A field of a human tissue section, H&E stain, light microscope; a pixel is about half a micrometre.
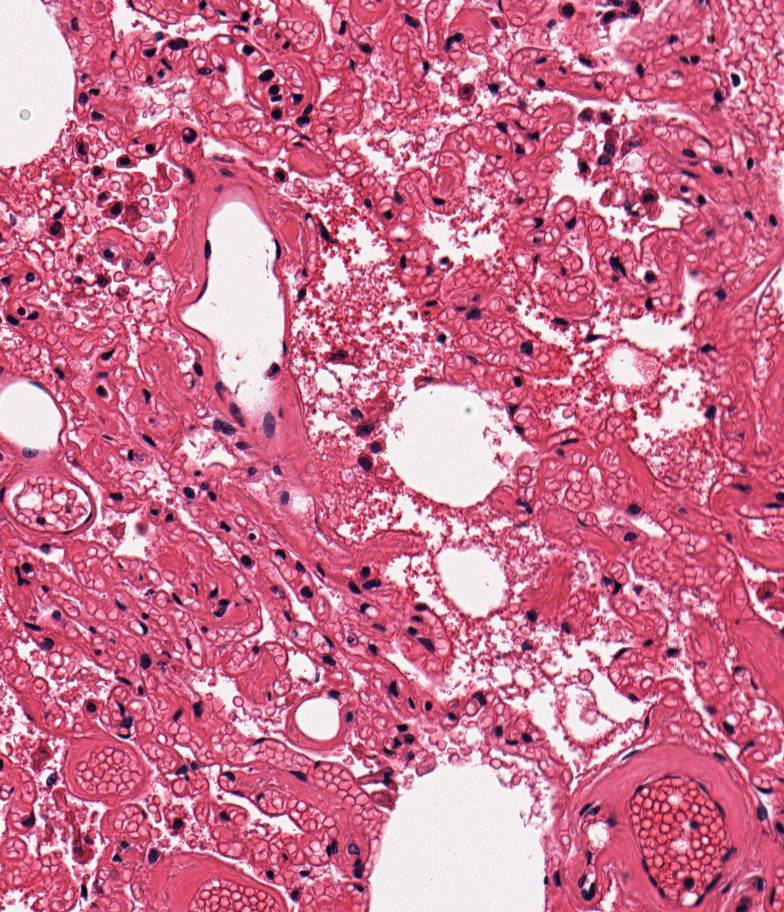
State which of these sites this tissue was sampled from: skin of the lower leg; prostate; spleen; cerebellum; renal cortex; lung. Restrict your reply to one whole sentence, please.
In this section is tissue sampled from the lung.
